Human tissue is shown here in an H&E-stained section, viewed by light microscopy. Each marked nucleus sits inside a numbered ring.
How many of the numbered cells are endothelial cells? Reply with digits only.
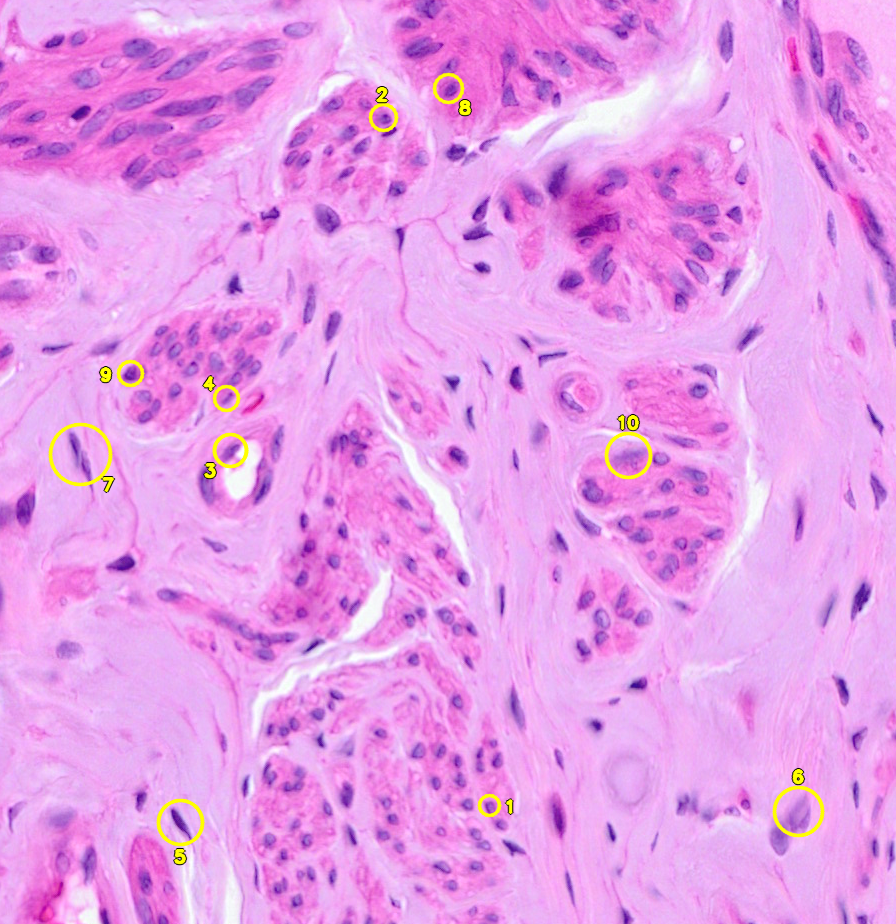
1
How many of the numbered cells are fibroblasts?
3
